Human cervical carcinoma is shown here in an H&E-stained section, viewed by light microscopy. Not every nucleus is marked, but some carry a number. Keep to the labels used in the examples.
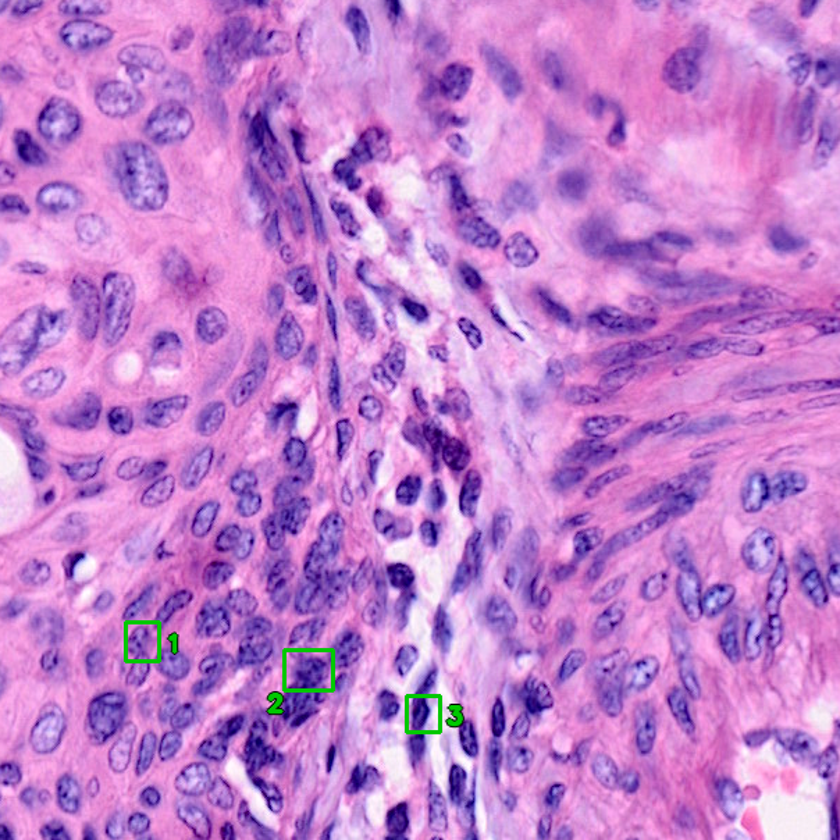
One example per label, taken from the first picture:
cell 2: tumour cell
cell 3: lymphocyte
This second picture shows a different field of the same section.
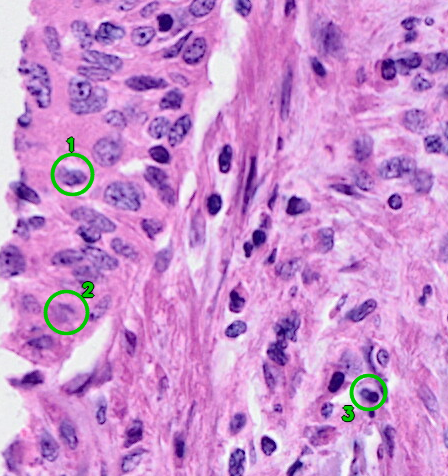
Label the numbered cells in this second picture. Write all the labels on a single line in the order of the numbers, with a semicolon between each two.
tumour cell; tumour cell; lymphocyte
